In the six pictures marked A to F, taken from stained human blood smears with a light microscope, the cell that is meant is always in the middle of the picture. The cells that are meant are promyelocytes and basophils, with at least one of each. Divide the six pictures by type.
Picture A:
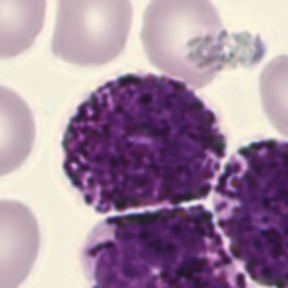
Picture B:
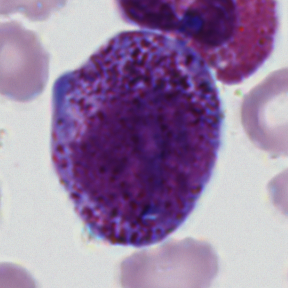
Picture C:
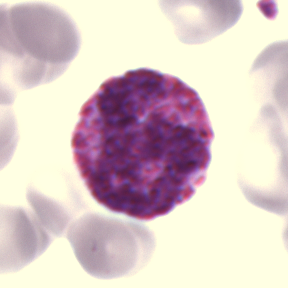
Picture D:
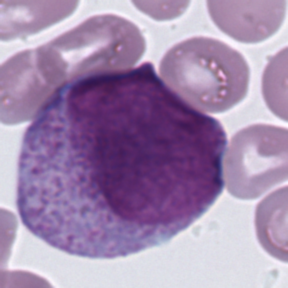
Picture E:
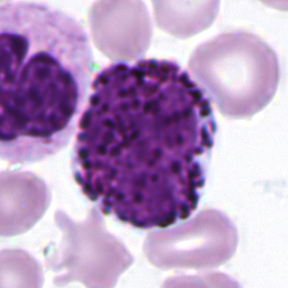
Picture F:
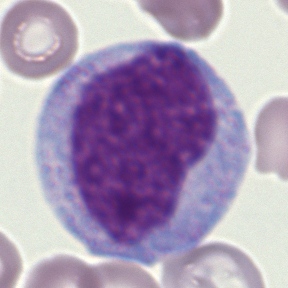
A: basophil
B: promyelocyte
C: basophil
D: promyelocyte
E: basophil
F: promyelocyte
